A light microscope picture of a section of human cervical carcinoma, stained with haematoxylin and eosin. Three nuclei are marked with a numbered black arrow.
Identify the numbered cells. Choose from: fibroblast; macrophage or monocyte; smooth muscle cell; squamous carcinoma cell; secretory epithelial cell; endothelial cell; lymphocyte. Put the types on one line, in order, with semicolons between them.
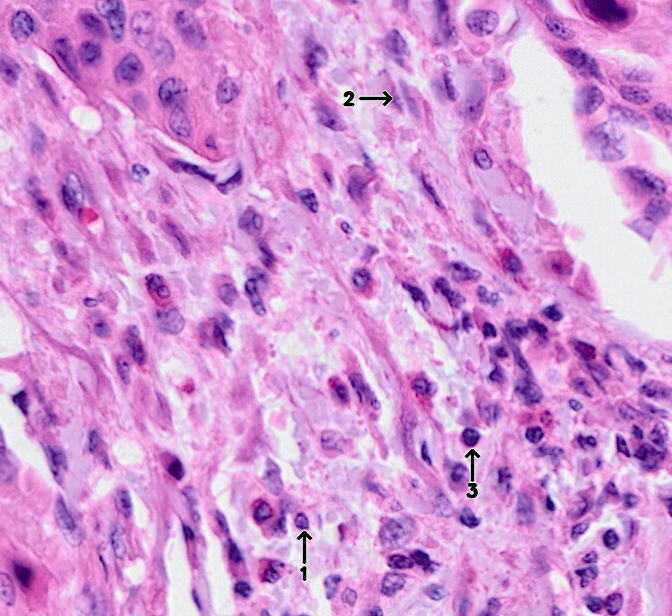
lymphocyte; fibroblast; lymphocyte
